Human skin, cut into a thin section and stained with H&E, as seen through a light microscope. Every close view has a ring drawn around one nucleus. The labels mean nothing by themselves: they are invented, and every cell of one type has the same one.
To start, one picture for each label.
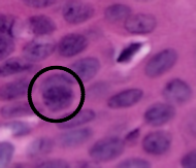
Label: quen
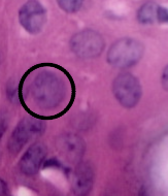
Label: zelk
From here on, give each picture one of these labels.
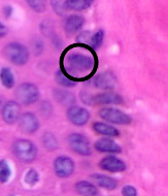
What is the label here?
quen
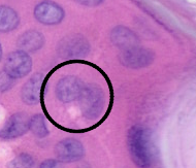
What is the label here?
zelk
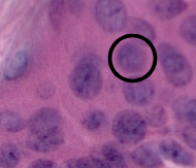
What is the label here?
zelk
